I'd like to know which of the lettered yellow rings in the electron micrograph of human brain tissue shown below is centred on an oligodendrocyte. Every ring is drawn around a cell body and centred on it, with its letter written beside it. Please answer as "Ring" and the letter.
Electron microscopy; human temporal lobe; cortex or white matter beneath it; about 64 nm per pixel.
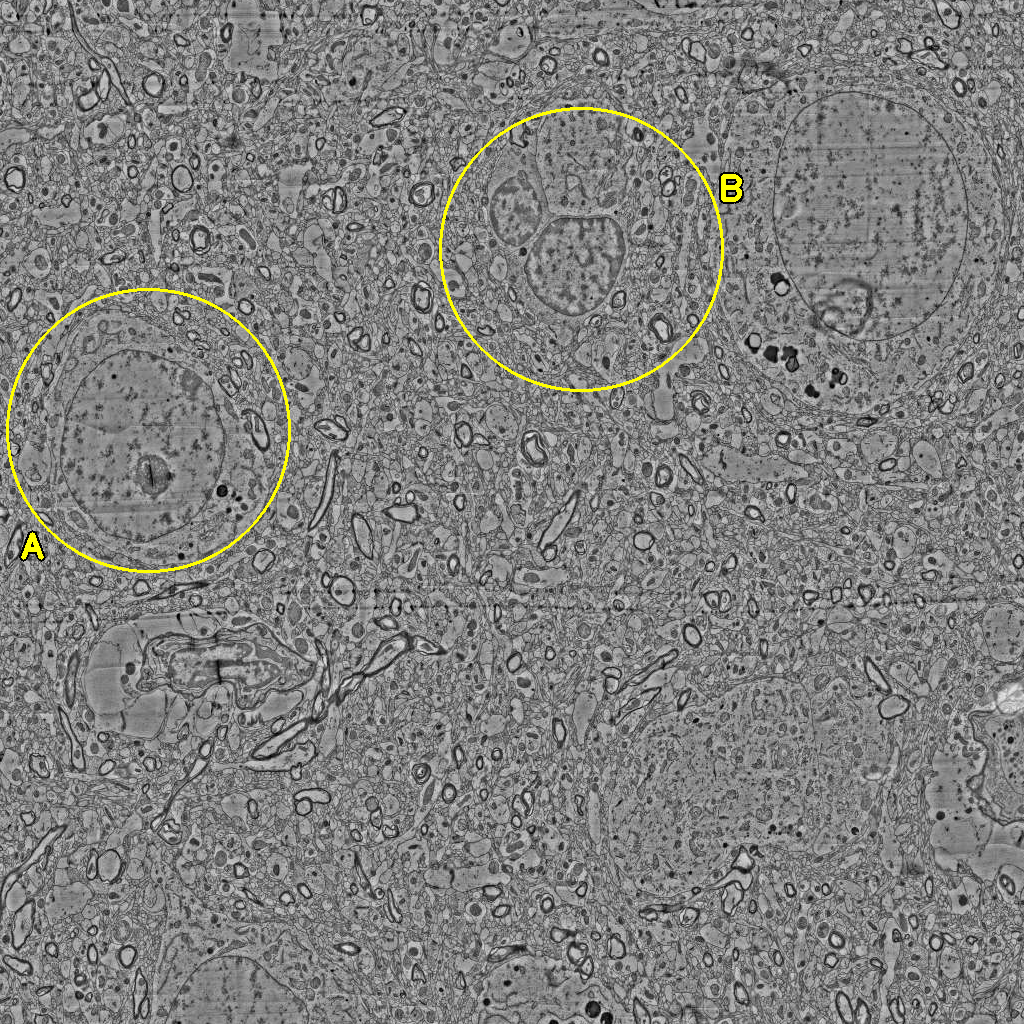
Ring B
